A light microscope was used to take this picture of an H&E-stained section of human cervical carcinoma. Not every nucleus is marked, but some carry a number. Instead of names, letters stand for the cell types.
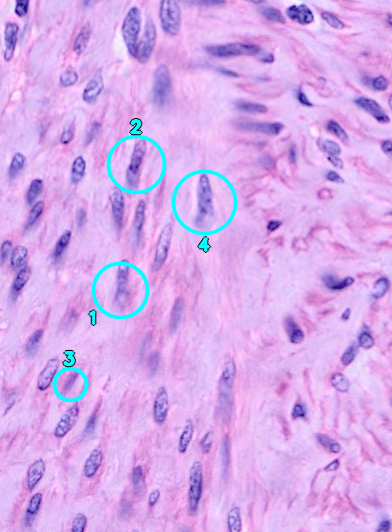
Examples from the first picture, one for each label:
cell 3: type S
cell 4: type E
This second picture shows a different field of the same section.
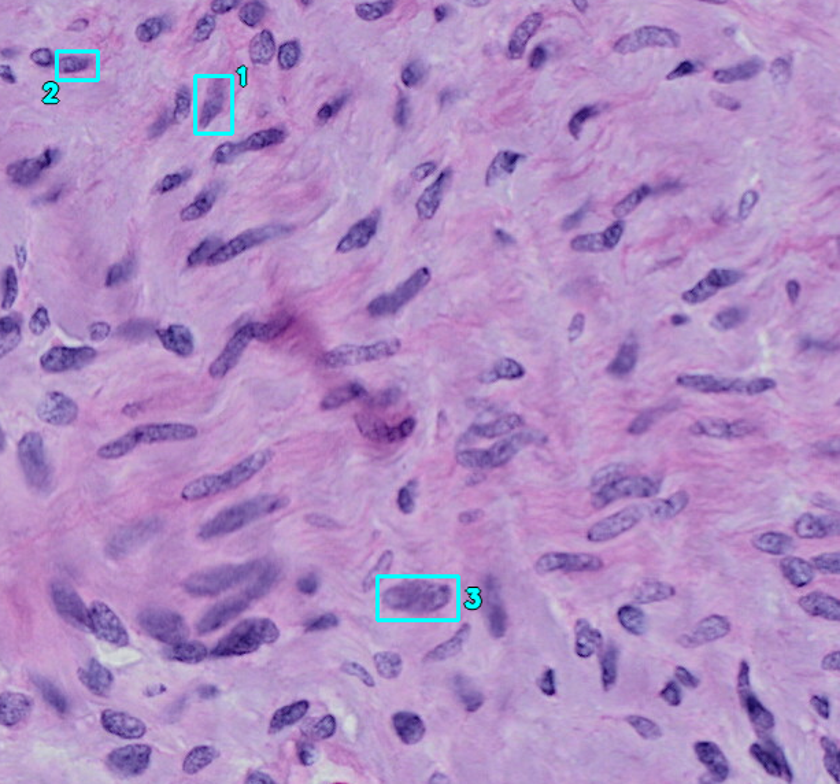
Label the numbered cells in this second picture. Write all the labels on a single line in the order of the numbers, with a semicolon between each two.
type S; type S; type E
